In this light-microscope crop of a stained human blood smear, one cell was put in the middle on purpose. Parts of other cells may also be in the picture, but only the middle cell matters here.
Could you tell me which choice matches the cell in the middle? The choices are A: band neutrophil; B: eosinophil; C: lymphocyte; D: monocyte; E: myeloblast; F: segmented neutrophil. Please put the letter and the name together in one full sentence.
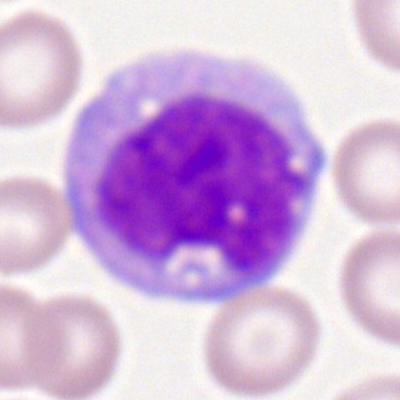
Option D is the keyed answer: the cell in the middle is a monocyte.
